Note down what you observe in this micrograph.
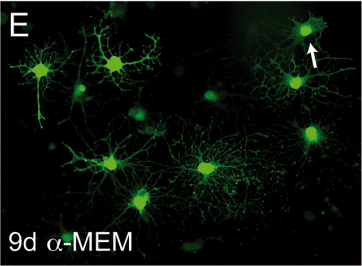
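These are cultured oligodendroglial cells labelled green, each with a small bright cell body. Most of them send out many thin processes that branch repeatedly into dense, bushy arbors around the cell. Flat sheets of membrane are scarce, the cells appearing mostly as star-like branching shapes. The cells lie scattered apart from one another.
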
